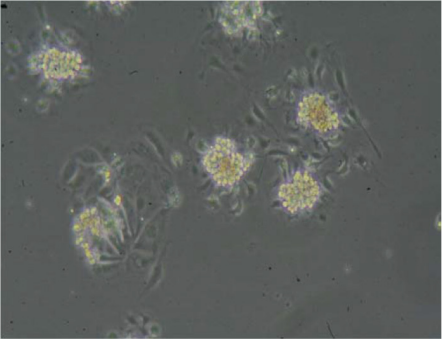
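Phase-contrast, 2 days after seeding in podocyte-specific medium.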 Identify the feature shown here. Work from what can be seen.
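Glomerular outgrowths. Several round, compact, refractile cell clusters lie scattered on the dish. Flattened, elongated cells spread outward from the edges of the clusters.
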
